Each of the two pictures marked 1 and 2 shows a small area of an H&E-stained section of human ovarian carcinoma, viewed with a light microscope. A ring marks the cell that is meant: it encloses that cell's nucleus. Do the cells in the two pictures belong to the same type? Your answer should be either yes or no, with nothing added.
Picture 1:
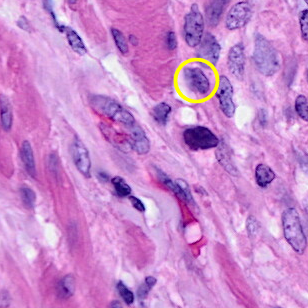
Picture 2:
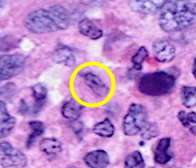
yes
